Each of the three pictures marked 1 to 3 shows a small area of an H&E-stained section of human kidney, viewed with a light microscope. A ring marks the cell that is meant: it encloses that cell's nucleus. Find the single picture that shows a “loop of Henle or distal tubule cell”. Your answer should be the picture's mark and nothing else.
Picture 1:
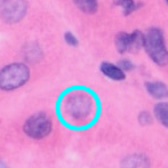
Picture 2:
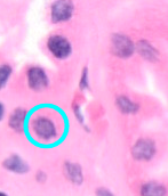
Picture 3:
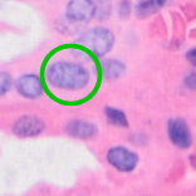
2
